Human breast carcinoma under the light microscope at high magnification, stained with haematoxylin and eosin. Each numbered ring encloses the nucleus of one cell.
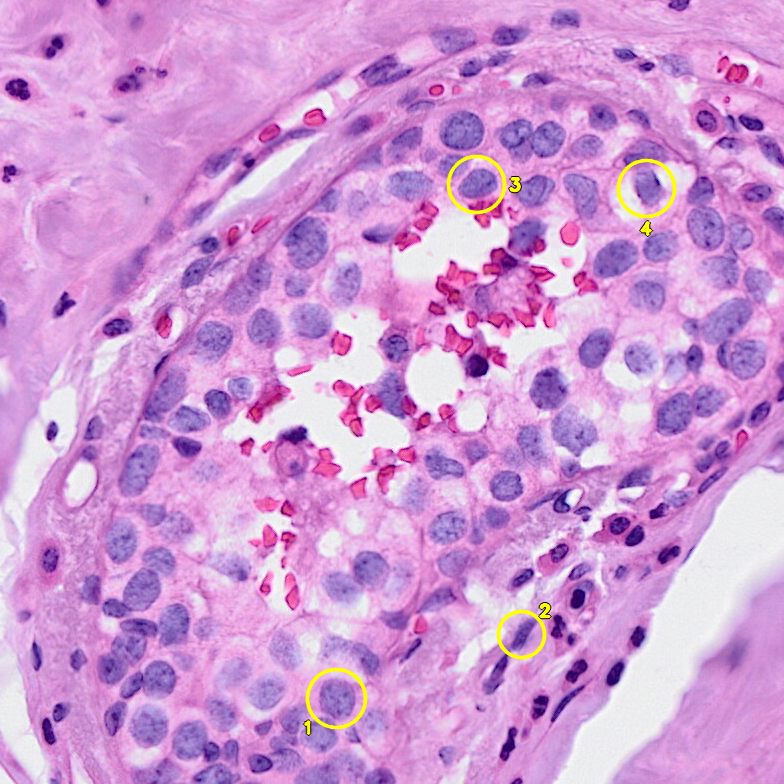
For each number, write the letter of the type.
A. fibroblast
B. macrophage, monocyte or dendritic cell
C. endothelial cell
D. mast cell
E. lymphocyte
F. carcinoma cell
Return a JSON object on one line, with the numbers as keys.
{"1": "F", "2": "A", "3": "F", "4": "F"}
